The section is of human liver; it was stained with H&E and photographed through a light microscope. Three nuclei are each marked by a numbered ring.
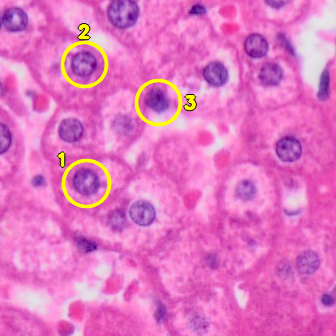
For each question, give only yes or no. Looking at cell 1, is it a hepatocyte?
yes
